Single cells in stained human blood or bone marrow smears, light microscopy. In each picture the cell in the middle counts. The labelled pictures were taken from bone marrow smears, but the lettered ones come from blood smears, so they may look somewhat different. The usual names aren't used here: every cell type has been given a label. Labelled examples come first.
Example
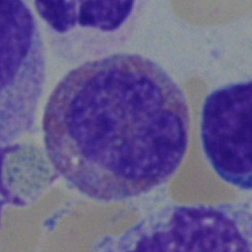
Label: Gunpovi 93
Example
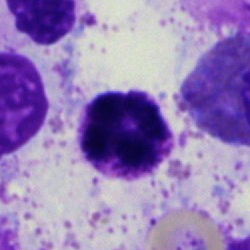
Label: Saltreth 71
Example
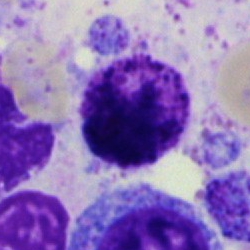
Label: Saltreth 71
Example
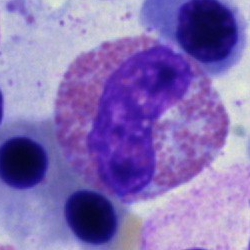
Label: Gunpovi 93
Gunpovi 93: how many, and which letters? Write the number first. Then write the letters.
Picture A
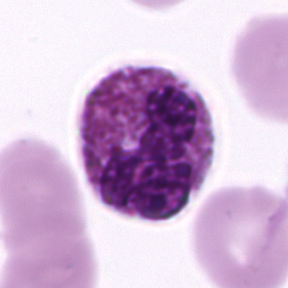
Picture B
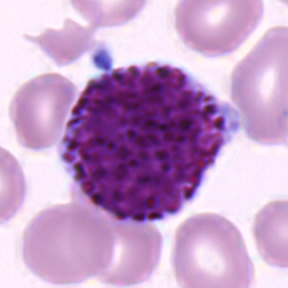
1: A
